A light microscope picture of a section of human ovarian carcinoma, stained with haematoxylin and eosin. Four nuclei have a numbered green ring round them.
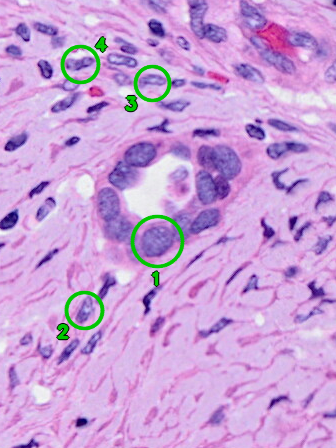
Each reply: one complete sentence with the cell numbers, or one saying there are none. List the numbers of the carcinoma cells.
Only nucleus 1 belongs to a carcinoma cell; the other numbered nuclei do not.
